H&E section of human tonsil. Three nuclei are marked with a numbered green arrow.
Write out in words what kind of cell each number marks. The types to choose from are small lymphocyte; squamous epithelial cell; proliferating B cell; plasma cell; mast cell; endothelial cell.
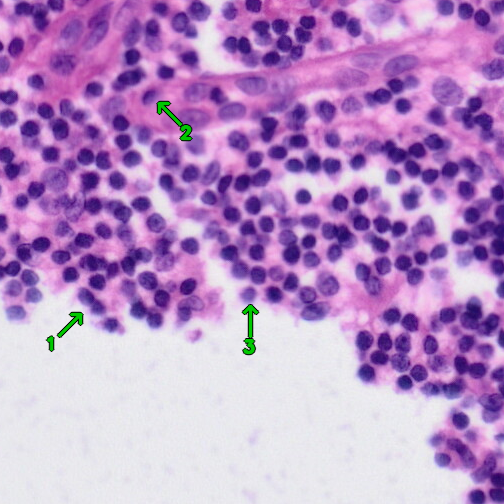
Cell 1 is a small lymphocyte, cell 2 is an endothelial cell and cell 3 is a small lymphocyte.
